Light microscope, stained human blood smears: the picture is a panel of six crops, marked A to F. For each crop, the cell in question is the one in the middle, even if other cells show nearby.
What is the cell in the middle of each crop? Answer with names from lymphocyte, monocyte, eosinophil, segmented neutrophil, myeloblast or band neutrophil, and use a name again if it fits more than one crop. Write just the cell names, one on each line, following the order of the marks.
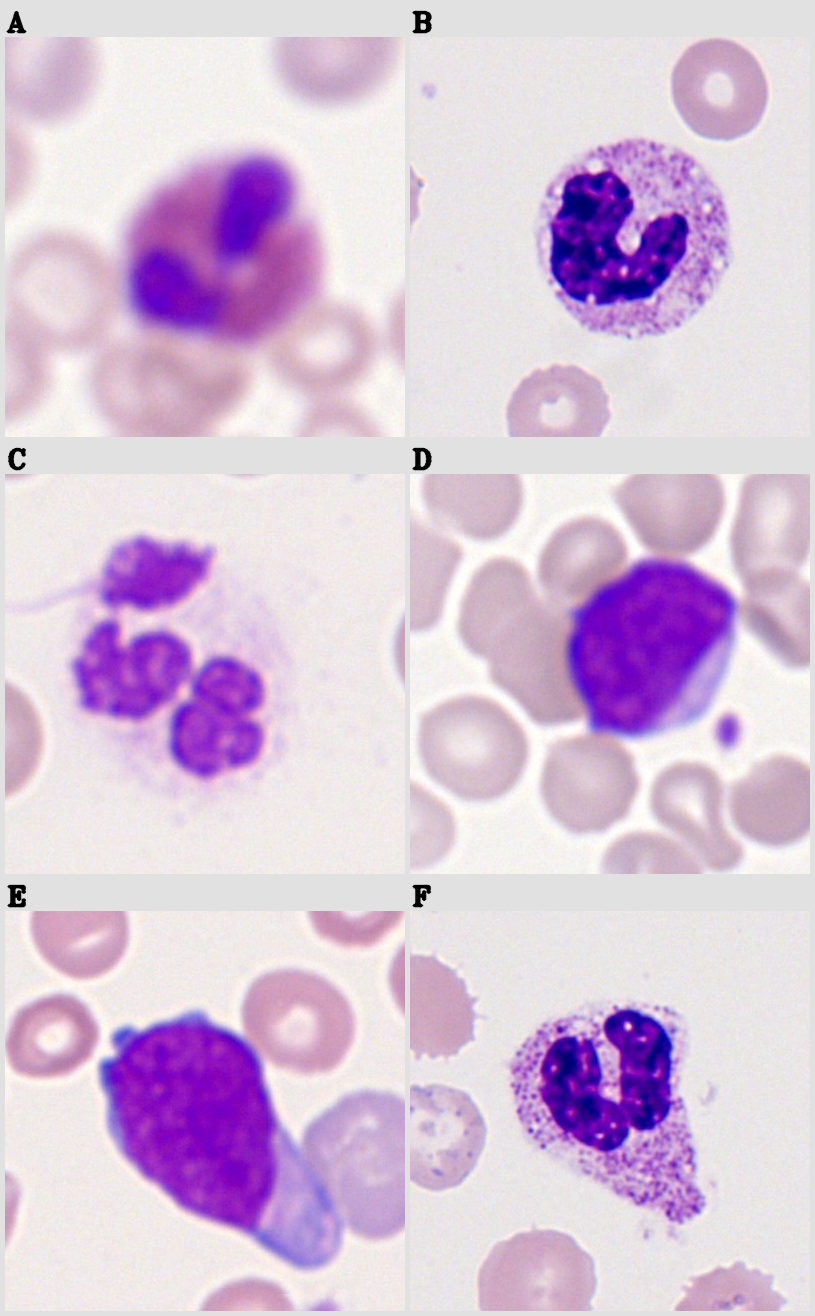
eosinophil
band neutrophil
segmented neutrophil
myeloblast
myeloblast
segmented neutrophil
